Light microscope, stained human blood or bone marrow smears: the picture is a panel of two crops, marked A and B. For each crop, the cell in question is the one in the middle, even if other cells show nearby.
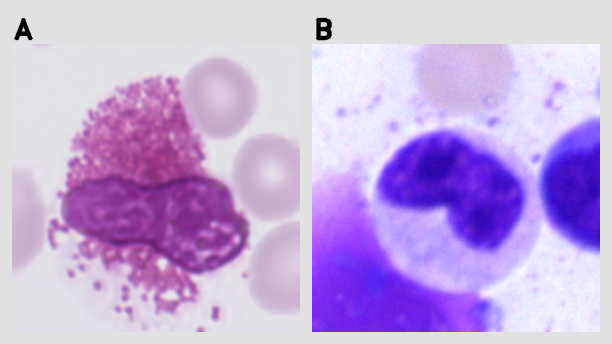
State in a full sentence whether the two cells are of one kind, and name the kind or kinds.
No, what crop A shows is an eosinophil, and what crop B shows is a metamyelocyte.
